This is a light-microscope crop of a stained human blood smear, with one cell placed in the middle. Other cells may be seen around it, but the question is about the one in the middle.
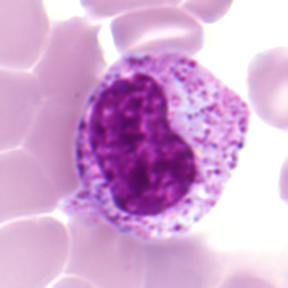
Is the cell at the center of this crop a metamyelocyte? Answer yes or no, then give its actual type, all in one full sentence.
Yes, centred in the crop is a metamyelocyte.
